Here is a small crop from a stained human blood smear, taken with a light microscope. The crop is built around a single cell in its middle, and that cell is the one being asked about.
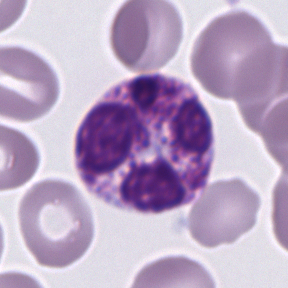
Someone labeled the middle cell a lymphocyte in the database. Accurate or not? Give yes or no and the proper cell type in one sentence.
No, the cell in the middle of the field is a basophil, not a lymphocyte as suggested.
